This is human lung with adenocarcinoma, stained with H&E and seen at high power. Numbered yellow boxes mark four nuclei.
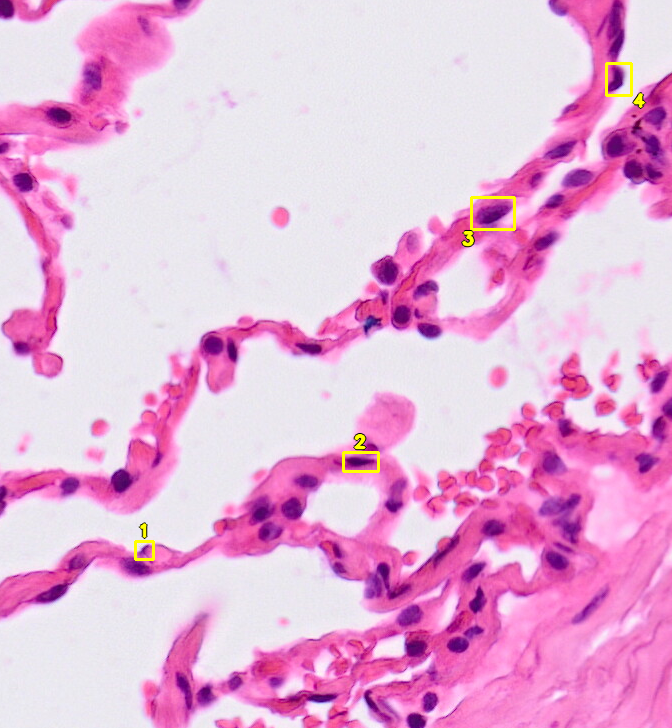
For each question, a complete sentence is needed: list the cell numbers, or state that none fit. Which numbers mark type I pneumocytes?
Here, the cells that carry numbers 1, 3 and 4 are type I pneumocytes.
